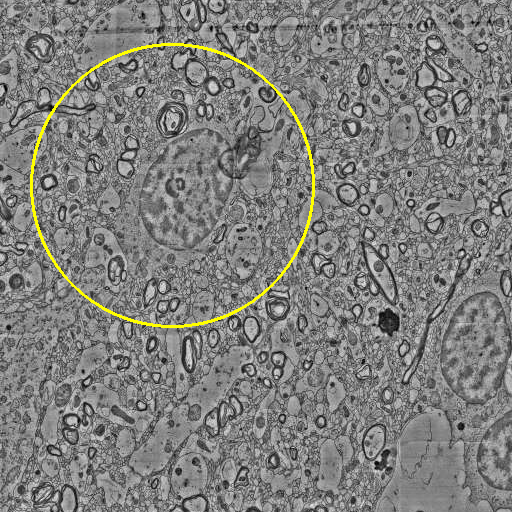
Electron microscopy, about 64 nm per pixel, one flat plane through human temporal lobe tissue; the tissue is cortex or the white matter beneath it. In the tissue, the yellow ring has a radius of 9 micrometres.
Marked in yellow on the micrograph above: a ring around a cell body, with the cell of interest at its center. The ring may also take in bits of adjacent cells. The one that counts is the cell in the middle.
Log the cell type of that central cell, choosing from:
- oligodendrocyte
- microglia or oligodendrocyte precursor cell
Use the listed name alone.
oligodendrocyte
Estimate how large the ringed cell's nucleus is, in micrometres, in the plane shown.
The nucleus of the ringed cell is approximately 8 by 6 micrometres in this plane.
